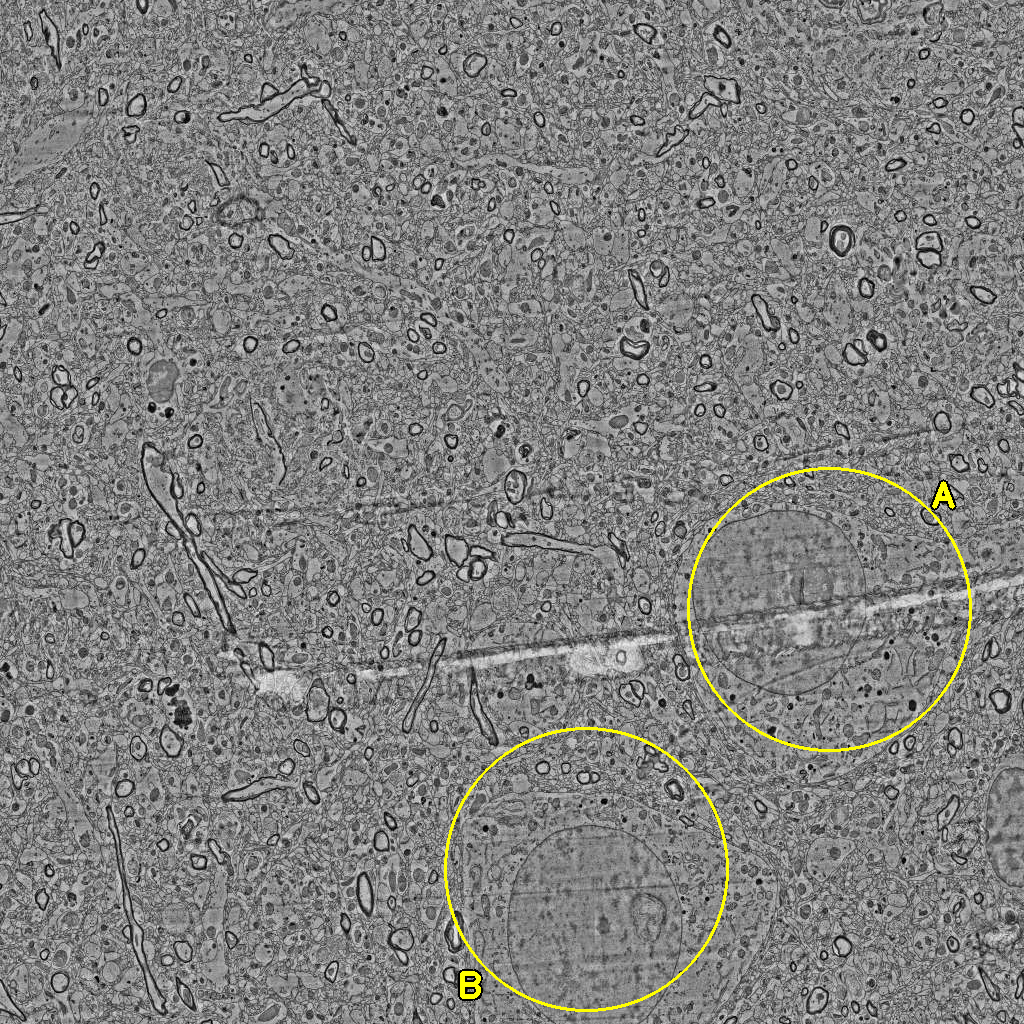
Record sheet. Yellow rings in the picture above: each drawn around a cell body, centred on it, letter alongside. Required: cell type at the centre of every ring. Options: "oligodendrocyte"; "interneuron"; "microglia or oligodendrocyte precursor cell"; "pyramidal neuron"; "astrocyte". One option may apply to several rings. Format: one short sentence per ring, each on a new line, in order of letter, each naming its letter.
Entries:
Ring A contains a pyramidal neuron at the centre.
Ring B contains a pyramidal neuron at the centre.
